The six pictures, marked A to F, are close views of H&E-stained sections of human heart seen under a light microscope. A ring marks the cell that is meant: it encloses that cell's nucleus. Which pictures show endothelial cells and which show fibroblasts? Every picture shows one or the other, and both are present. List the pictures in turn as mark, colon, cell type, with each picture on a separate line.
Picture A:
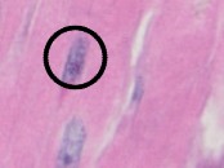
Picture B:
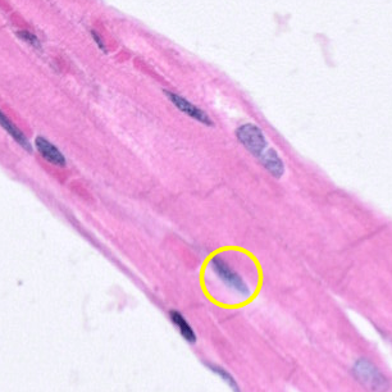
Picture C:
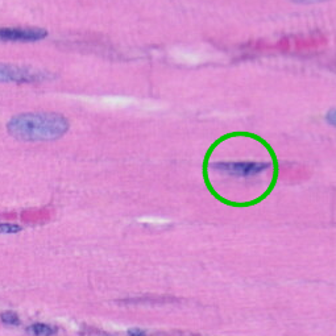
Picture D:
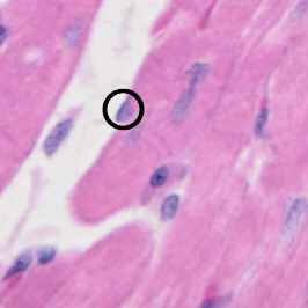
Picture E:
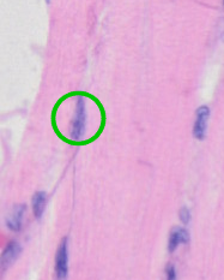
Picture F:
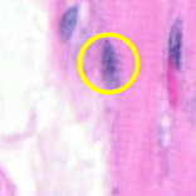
A: endothelial cell
B: fibroblast
C: endothelial cell
D: fibroblast
E: fibroblast
F: fibroblast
